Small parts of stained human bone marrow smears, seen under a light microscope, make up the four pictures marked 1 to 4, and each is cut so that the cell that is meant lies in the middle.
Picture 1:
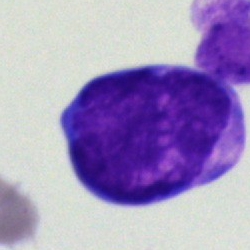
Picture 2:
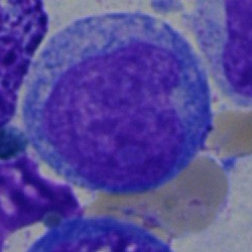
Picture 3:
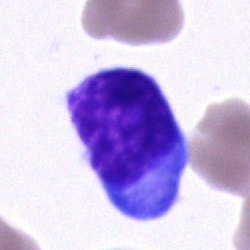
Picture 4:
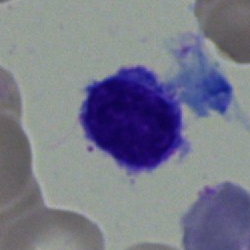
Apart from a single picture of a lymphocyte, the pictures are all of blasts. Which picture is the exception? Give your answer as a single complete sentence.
The picture with the lymphocyte is 4.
